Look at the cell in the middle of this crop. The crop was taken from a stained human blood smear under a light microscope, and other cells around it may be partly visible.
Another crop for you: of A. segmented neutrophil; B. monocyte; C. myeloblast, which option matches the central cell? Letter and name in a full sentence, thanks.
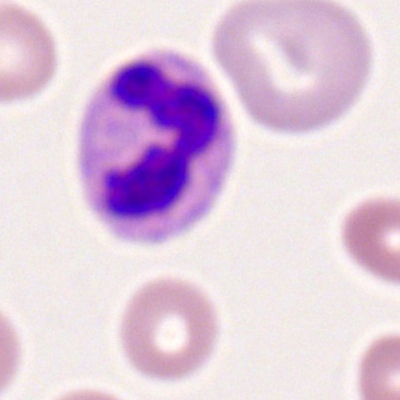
At the centre of the crop lies a segmented neutrophil, which makes option A correct.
